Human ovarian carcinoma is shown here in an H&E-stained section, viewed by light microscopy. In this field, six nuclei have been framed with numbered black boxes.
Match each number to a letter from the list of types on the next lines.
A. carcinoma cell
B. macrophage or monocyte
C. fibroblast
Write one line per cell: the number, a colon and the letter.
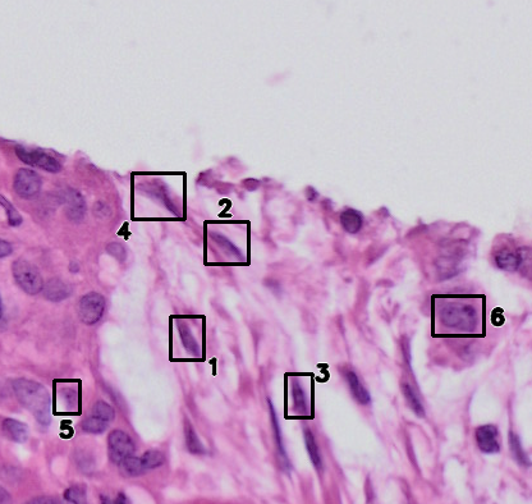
1: C
2: C
3: C
4: C
5: B
6: B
